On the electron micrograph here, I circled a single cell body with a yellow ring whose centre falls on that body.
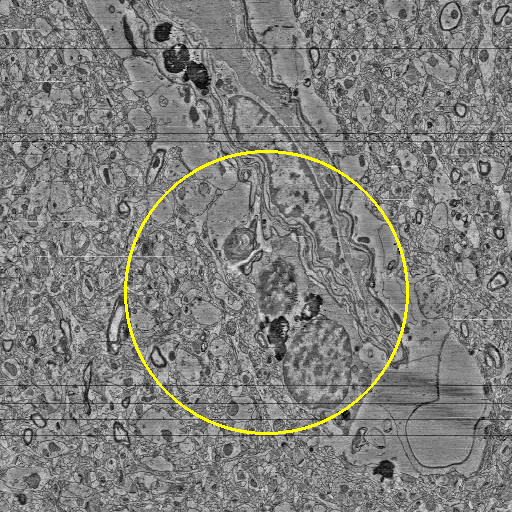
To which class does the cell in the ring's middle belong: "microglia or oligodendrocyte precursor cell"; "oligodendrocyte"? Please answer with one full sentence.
In this picture, the cell body circled at the ring's centre belongs to an oligodendrocyte.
